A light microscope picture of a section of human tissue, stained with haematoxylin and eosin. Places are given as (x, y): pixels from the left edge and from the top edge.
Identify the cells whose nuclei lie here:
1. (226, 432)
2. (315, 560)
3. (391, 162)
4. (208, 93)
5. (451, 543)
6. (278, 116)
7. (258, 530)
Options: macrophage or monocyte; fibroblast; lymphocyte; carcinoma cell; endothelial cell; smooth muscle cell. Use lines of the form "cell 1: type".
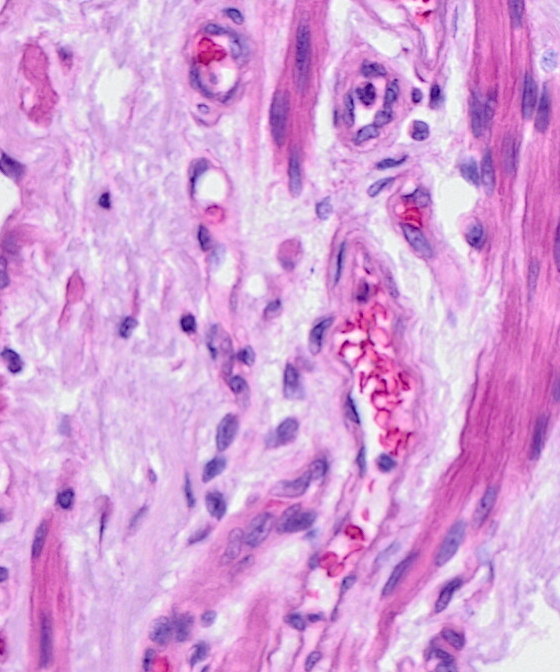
cell 1: fibroblast
cell 2: endothelial cell
cell 3: fibroblast
cell 4: endothelial cell
cell 5: smooth muscle cell
cell 6: smooth muscle cell
cell 7: endothelial cell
